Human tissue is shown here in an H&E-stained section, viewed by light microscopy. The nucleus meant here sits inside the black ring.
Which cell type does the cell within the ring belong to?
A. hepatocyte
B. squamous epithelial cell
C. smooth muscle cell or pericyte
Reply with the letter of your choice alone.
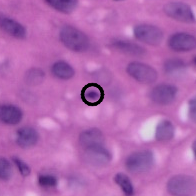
B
